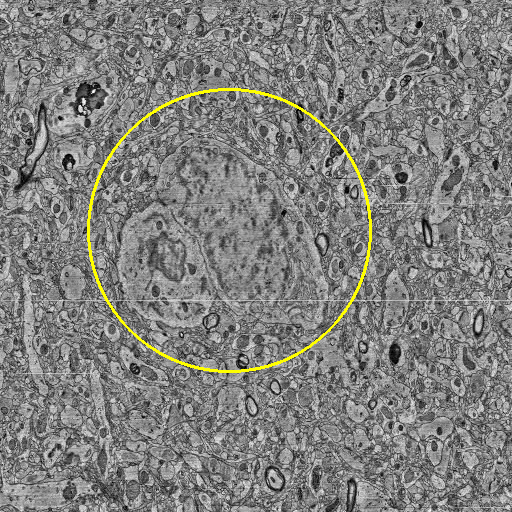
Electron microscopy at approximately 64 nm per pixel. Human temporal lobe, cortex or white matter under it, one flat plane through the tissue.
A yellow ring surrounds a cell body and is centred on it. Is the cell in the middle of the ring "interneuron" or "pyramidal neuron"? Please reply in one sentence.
The ring is centred on an interneuron.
